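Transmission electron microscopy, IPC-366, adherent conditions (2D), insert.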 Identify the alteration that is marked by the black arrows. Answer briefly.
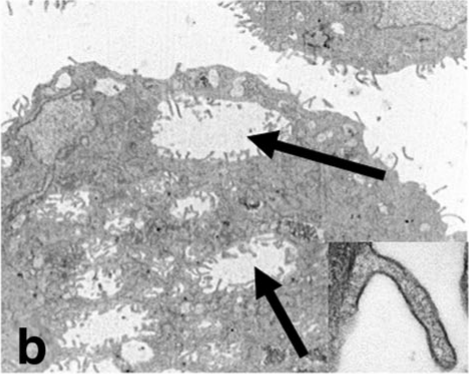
Empty cytoplasmic spaces.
